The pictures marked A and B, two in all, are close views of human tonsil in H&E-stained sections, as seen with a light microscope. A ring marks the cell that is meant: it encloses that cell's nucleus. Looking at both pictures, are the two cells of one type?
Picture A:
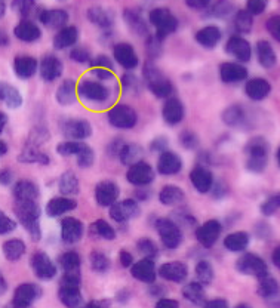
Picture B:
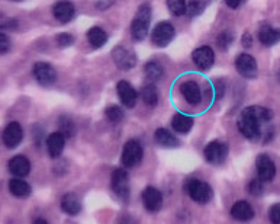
no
